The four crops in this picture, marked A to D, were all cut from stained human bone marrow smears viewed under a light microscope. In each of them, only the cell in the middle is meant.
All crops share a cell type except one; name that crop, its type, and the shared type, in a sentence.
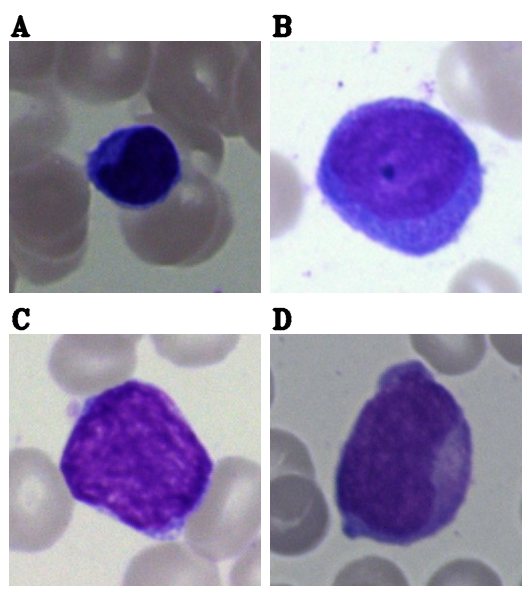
All the crops show blasts except crop A, which shows a lymphocyte.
